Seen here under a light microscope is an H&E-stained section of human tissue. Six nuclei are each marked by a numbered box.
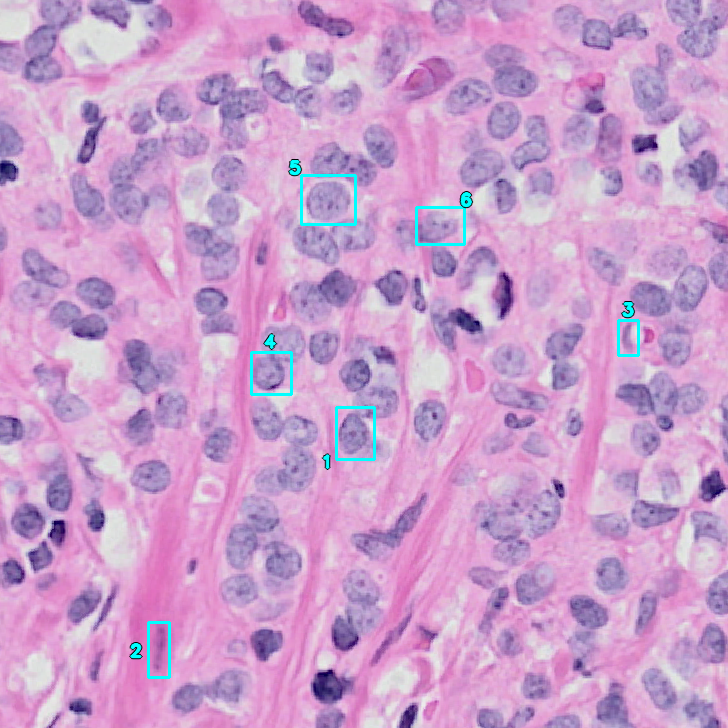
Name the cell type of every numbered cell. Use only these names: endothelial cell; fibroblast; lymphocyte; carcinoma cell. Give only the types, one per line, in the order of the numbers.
carcinoma cell
fibroblast
endothelial cell
carcinoma cell
carcinoma cell
carcinoma cell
